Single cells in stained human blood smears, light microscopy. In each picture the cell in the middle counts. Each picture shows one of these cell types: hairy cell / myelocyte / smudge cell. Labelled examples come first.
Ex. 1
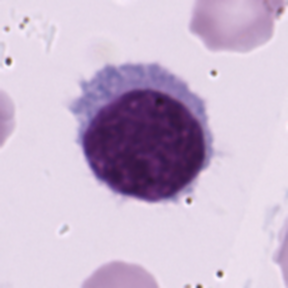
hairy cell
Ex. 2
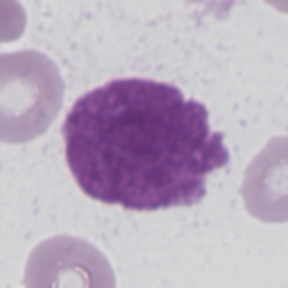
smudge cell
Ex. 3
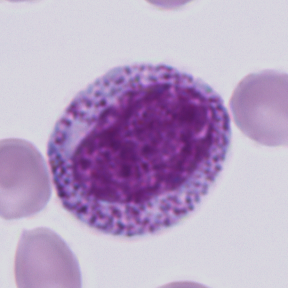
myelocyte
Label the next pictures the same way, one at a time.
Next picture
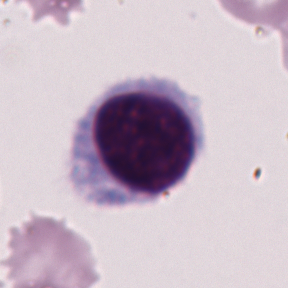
hairy cell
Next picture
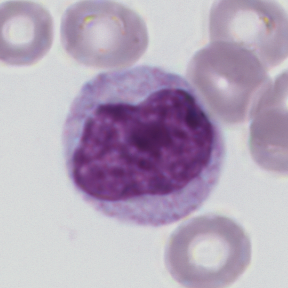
myelocyte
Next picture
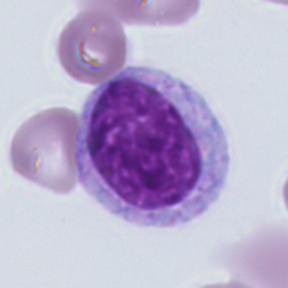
myelocyte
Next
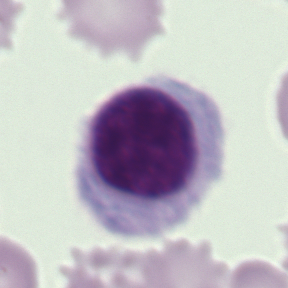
hairy cell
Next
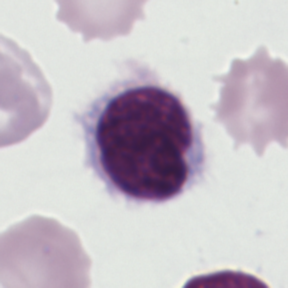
hairy cell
